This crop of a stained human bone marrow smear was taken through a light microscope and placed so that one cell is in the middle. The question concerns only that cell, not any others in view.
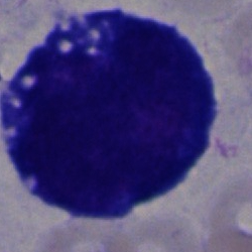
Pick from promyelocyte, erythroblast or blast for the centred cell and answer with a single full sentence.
The cell marked by its central position in the crop is a blast.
